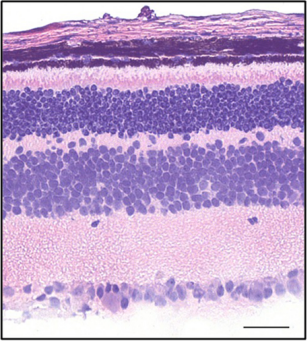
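The pale pink band of photoreceptor segments below the pigmented epithelium is short. The outer band of small, round, dark photoreceptor nuclei is clearly thinner than in a normal retina. Below a thin pink plexiform band lies the inner band of somewhat larger nuclei, and beneath it a broad, finely granular pink inner plexiform layer. At the bottom, scattered larger ganglion cell nuclei form a single loose row.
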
